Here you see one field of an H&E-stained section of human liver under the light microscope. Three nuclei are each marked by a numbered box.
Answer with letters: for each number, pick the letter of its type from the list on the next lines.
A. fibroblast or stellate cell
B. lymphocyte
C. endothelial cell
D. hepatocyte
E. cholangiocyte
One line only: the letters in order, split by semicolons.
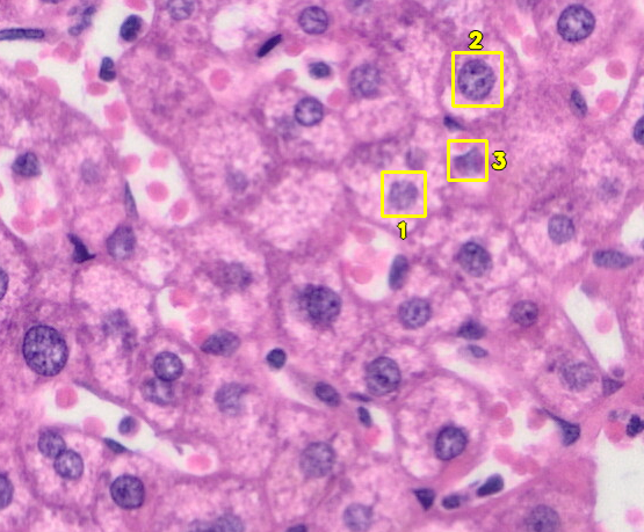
D; D; C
